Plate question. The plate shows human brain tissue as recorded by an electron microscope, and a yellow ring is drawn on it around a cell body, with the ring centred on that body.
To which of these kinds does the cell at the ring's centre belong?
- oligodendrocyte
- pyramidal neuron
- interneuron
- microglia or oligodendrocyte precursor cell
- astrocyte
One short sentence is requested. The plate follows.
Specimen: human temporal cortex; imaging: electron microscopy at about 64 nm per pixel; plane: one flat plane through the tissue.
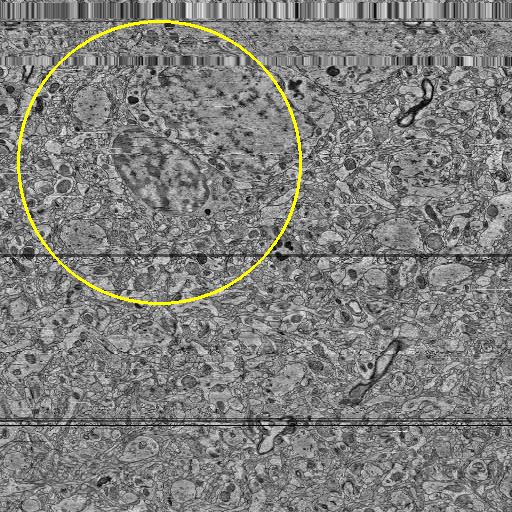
The cell at the ring's centre is an oligodendrocyte.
